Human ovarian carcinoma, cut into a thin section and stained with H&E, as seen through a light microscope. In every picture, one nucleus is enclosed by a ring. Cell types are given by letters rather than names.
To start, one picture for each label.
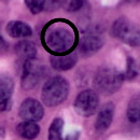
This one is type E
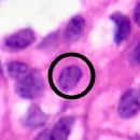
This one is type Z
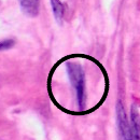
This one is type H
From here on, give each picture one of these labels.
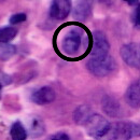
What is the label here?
type Z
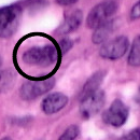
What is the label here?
type E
